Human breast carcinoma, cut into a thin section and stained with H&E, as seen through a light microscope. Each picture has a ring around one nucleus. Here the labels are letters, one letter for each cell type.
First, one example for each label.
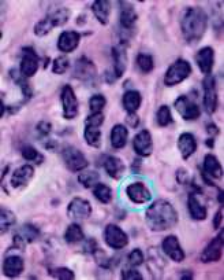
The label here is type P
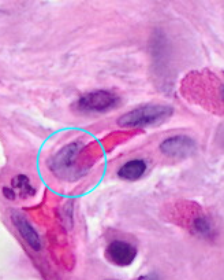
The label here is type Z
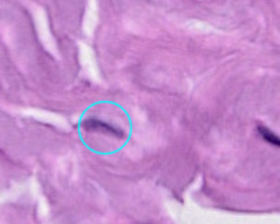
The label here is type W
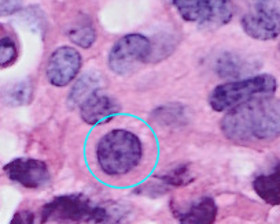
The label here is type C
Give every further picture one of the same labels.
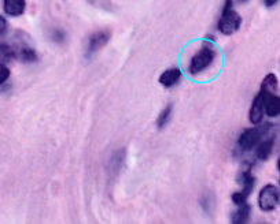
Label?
type P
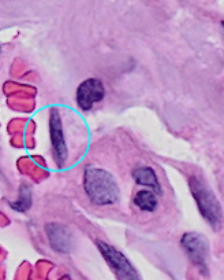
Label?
type Z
